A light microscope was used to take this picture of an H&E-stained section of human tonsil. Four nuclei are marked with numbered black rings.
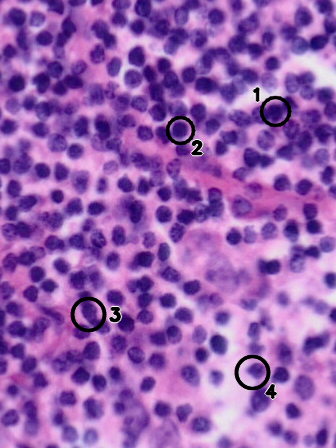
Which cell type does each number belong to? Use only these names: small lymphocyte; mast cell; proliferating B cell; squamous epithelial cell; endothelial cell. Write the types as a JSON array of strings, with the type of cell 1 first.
["small lymphocyte", "small lymphocyte", "small lymphocyte", "proliferating B cell"]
